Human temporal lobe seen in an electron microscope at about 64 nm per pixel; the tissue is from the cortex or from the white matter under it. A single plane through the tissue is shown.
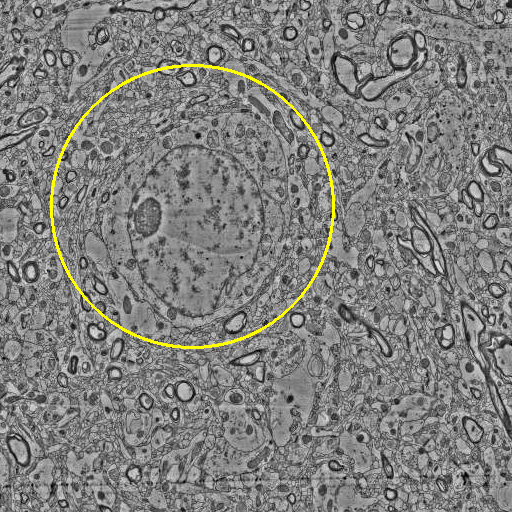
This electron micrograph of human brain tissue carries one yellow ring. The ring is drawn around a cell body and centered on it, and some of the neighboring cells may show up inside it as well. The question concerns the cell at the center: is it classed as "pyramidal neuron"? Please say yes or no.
Yes, it is classed that way.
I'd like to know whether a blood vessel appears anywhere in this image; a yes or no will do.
No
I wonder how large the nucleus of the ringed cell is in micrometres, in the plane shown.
The nucleus has a long axis of about 11 micrometres and a short axis of about 9 micrometres in this plane.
